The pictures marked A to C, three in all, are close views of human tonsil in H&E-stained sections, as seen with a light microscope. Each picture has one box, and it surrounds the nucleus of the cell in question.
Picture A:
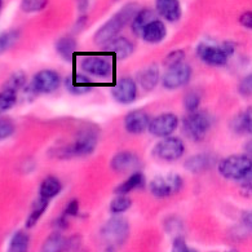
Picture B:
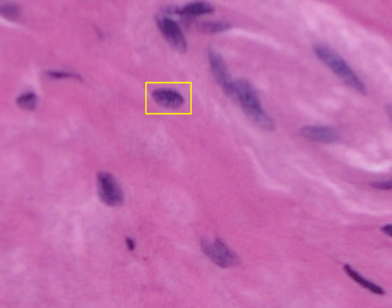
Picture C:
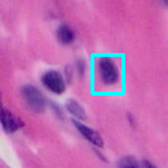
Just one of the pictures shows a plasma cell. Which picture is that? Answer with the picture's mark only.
A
